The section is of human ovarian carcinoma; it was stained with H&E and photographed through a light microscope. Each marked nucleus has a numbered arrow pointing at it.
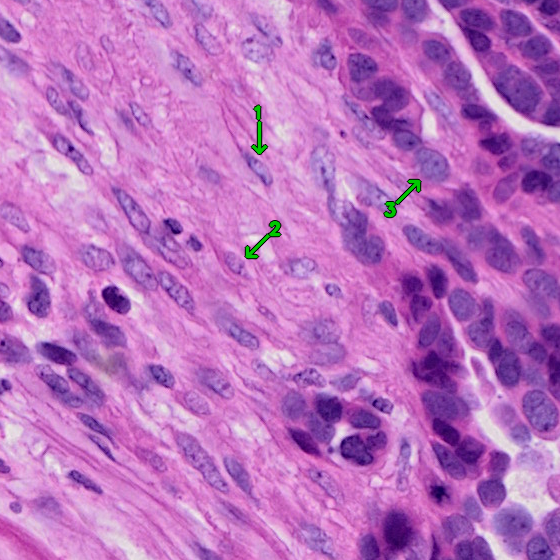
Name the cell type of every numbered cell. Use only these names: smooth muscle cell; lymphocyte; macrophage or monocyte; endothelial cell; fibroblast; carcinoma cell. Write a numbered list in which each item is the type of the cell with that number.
1. fibroblast
2. fibroblast
3. carcinoma cell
